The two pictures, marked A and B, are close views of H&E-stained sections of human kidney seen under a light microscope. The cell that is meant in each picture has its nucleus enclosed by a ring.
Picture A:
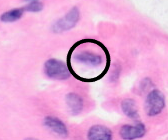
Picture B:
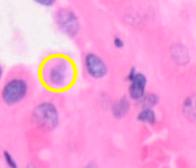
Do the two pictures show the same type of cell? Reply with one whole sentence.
Yes, the two pictures both show “loop of Henle or distal tubule cells”.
